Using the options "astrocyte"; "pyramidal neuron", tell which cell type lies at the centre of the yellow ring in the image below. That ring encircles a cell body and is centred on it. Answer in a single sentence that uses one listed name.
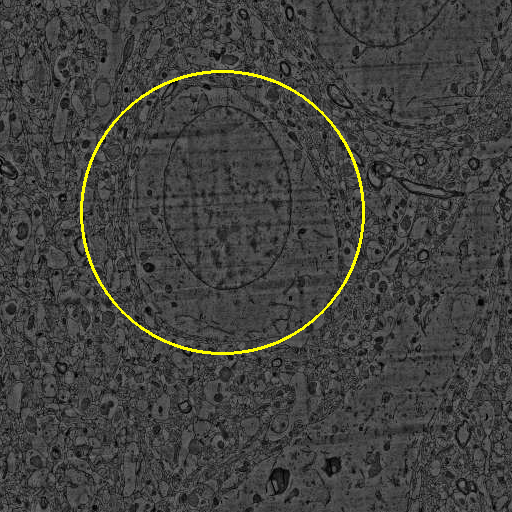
At the centre of the yellow ring lies the body of a pyramidal neuron.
